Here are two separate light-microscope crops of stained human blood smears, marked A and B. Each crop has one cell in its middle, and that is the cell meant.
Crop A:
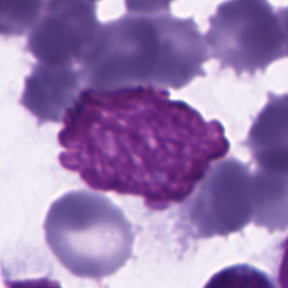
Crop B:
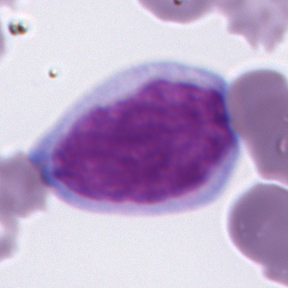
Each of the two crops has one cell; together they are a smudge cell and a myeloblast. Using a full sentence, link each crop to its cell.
The cell of interest in crop A is a smudge cell, and in crop B it is a myeloblast.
